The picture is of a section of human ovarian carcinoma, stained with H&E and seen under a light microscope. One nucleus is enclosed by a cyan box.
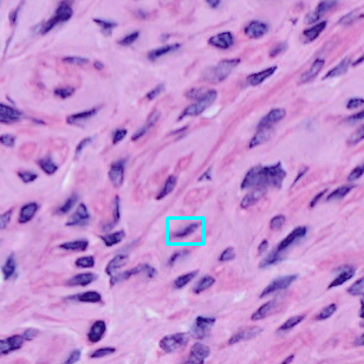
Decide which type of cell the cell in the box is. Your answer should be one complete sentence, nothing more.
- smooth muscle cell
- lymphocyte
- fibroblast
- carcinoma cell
Assigned to a cell type, the cell in the box is a smooth muscle cell.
